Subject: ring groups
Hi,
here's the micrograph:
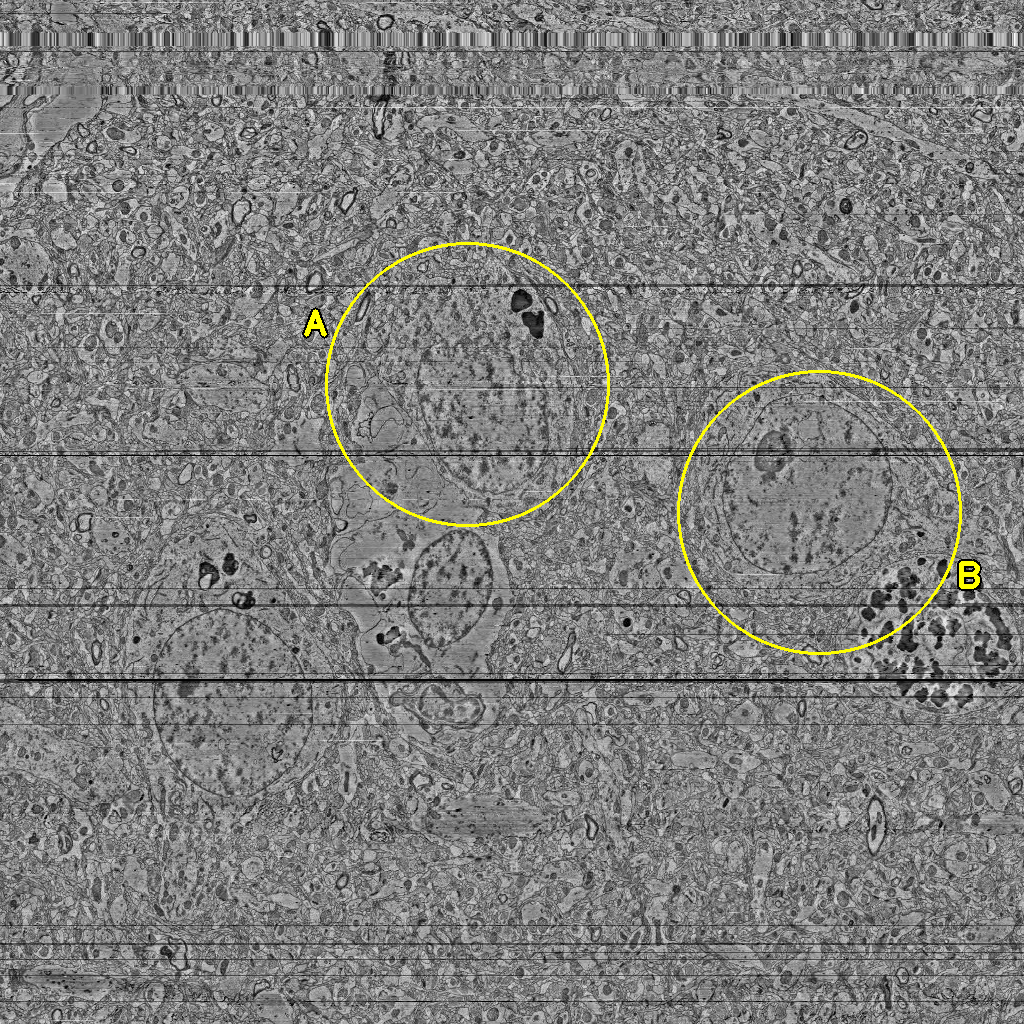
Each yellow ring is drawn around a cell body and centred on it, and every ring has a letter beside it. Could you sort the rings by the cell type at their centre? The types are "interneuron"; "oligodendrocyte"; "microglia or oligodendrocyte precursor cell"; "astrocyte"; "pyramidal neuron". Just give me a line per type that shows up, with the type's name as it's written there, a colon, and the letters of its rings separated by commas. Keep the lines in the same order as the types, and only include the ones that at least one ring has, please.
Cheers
interneuron: A
pyramidal neuron: B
